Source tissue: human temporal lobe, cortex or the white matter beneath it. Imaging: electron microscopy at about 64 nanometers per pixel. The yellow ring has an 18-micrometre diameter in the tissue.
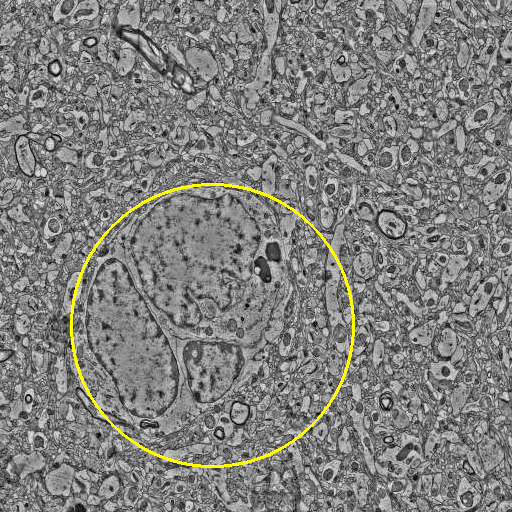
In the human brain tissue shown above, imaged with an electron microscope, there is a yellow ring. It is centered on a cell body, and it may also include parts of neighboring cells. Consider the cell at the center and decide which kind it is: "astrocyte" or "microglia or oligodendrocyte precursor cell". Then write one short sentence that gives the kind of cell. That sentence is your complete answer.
This centered cell body is that of a microglial cell or oligodendrocyte precursor cell.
